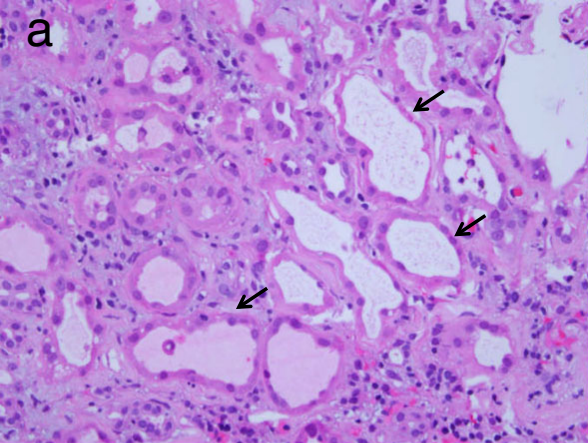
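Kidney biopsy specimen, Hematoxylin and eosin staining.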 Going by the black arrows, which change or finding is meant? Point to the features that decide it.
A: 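The marked tubules are dilated with wide lumens. The lining epithelium of these tubules is thin and flattened. The lumens hold pale, finely textured material.
Answer: tubular injury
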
